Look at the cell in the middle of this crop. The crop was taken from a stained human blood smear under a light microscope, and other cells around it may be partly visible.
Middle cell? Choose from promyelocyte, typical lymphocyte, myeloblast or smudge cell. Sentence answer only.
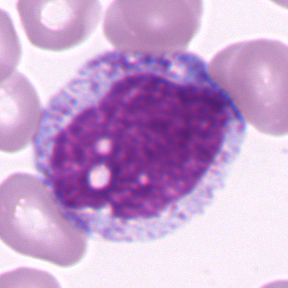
The single cell at the center of the crop is a promyelocyte.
